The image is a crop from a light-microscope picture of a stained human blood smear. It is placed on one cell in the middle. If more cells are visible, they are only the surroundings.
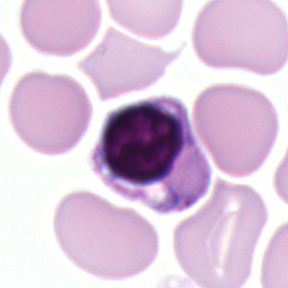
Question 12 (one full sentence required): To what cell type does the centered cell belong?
In the middle of this smear crop, the cell is a normoblast.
